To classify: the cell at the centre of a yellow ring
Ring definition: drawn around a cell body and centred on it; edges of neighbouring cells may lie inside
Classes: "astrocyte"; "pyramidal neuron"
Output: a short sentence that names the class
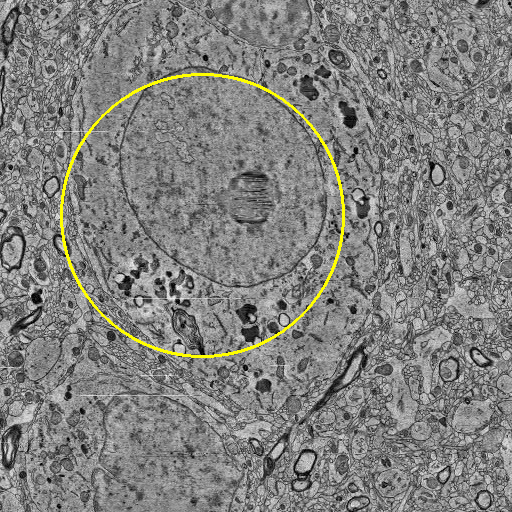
The ringed cell is a pyramidal neuron.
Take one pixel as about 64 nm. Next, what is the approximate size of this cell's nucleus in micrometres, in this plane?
The nucleus has a long axis of about 15 micrometres and a short axis of about 12 micrometres in this plane.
